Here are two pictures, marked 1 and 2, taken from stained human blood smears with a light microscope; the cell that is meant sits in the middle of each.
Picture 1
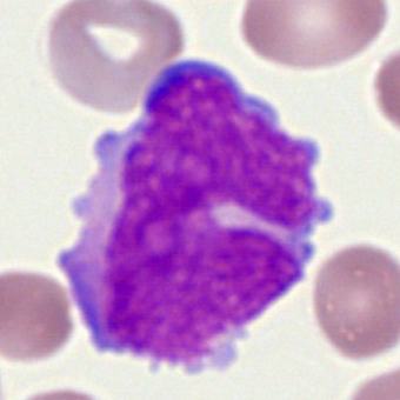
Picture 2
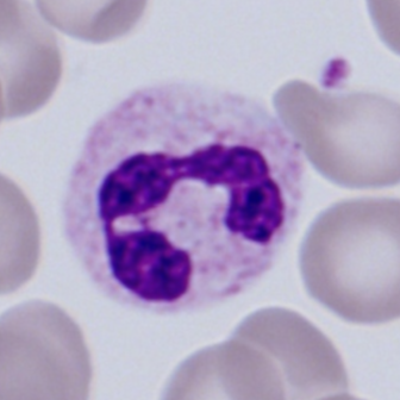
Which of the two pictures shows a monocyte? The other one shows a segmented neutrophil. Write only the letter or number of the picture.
1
